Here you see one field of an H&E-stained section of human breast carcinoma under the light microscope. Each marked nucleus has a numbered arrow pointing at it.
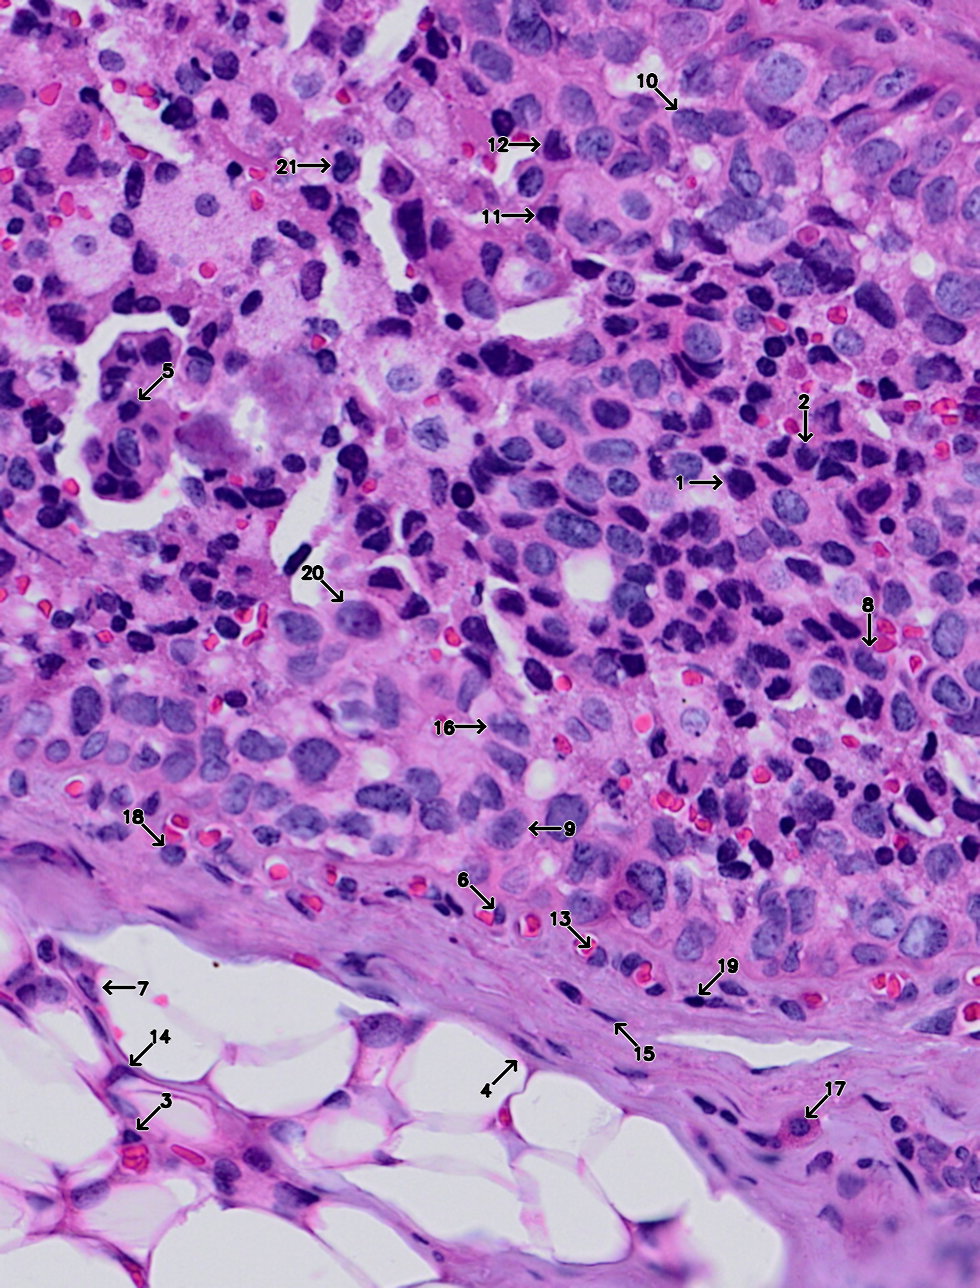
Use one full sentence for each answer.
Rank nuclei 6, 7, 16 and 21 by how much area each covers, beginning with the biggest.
Largest first, the order by area is 16, 21, 7, 6.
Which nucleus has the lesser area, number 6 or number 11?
With nucleus 11 about 2 times its size, nucleus 6 is the smaller of the two.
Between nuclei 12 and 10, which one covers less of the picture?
Number 12 is smaller, since number 10 takes up about 2 times as much area.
